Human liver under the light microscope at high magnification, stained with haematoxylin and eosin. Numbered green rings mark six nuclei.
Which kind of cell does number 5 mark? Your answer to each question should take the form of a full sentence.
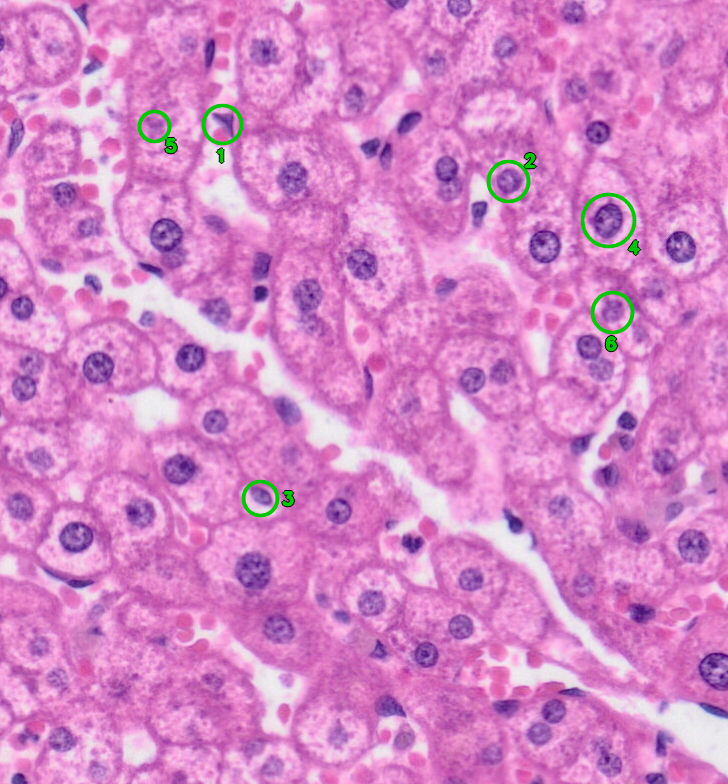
The one labeled 5 is a hepatocyte, to put it simply.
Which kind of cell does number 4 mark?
The cell referenced by the number 4 is a hepatocyte in this field.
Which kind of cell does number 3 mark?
In the marked set, the cell given number 3 is a Kupffer cell.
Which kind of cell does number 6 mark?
Number 6 among the marked cells is a hepatocyte.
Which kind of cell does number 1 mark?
The correct label for cell 1 is an endothelial cell.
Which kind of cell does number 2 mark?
The cell numbered 2 has been identified as a hepatocyte.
